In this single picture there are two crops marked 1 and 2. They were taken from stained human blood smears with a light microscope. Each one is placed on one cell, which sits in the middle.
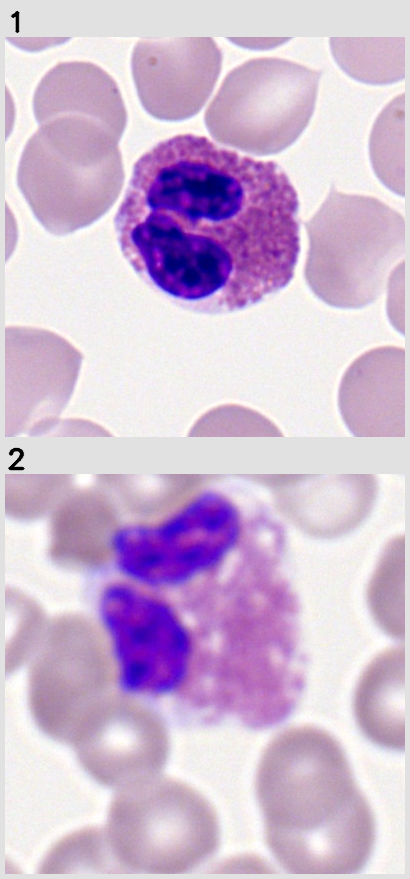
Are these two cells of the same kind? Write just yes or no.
yes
